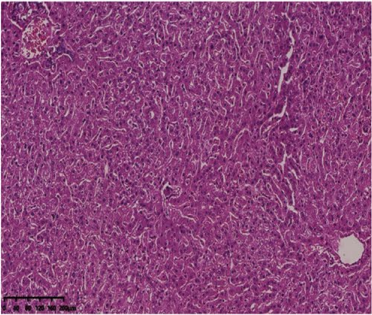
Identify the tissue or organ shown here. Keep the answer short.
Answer: hepatic tissue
